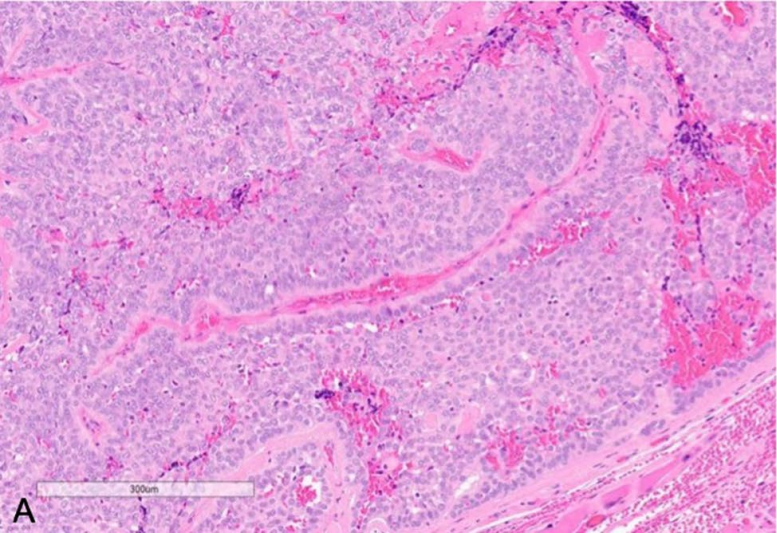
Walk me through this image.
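Large sheets and nests of uniform tumor cells with small oval nuclei and scant pink cytoplasm fill most of the field. At the edges of the nests the cells line up in a row against thin pink fibrous bands, some of which hold red blood cells and a few dark inflammatory cells. This is a tumor with solid growth, peripheral palisading and intervening fibrous stroma.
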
